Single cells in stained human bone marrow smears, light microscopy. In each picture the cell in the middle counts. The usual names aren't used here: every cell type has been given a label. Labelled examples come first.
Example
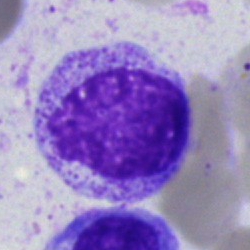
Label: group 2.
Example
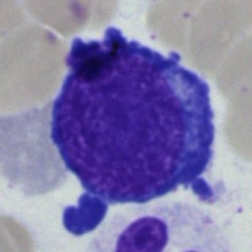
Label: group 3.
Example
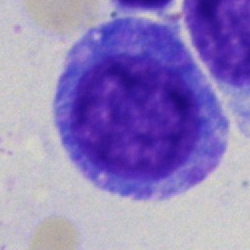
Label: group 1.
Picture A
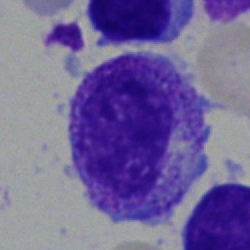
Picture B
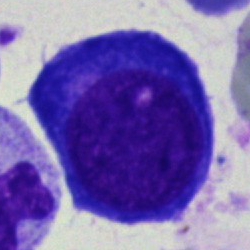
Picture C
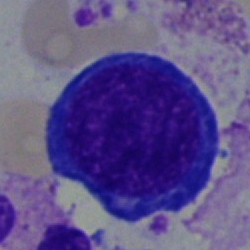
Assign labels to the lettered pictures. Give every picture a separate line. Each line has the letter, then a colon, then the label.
A: group 2.
B: group 3.
C: group 3.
